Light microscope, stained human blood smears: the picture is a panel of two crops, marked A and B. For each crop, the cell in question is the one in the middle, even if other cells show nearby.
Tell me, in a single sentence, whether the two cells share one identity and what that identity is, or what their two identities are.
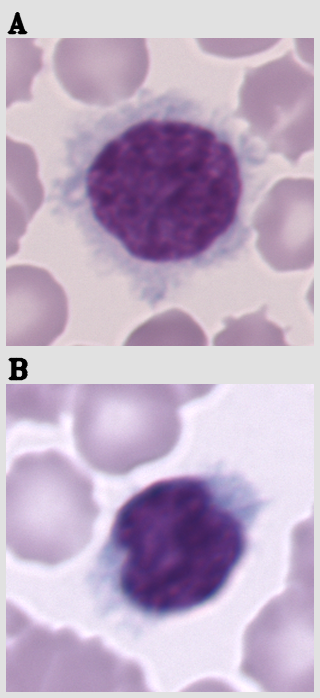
Yes, both crops show hairy cells, each crop centred on one of them.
